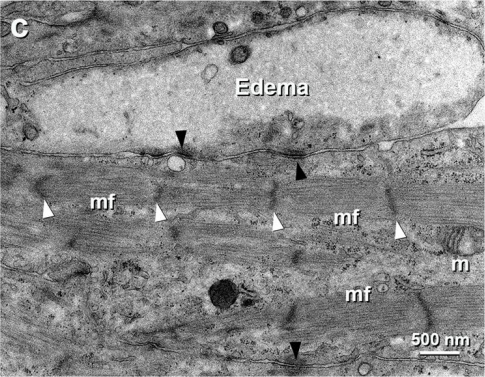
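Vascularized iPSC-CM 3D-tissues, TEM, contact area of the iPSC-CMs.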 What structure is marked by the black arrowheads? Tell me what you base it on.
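Desmosomes. Short dense plaques sit on the membranes where two cells meet. Dense material lies on both sides of the paired membranes at these spots.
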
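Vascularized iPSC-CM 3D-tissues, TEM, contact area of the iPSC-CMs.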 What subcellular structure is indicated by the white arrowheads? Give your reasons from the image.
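Z-bands. Dark transverse bands cross the bundles of parallel filaments. The bands recur at regular intervals along the filament bundles.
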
